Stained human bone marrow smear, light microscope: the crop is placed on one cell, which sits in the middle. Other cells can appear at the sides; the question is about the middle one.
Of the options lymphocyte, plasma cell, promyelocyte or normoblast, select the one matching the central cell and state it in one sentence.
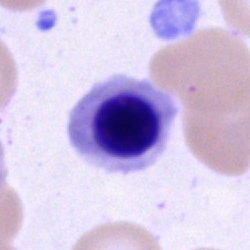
Centrally within this crop lies a normoblast.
